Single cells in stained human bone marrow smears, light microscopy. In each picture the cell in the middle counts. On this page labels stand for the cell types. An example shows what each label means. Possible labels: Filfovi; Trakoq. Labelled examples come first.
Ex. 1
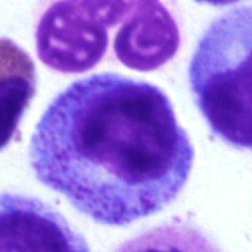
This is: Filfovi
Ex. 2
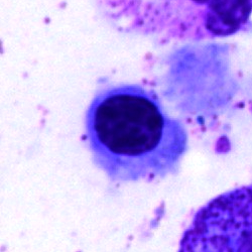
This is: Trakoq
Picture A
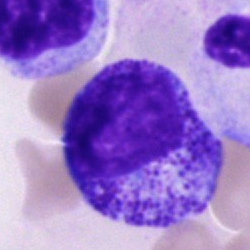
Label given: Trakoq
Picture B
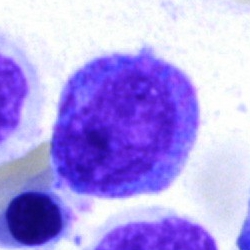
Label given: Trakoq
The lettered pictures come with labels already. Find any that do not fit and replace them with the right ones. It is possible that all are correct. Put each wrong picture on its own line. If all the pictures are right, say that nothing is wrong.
Wrong: A (Trakoq); correct: Filfovi
Wrong: B (Trakoq); correct: Filfovi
